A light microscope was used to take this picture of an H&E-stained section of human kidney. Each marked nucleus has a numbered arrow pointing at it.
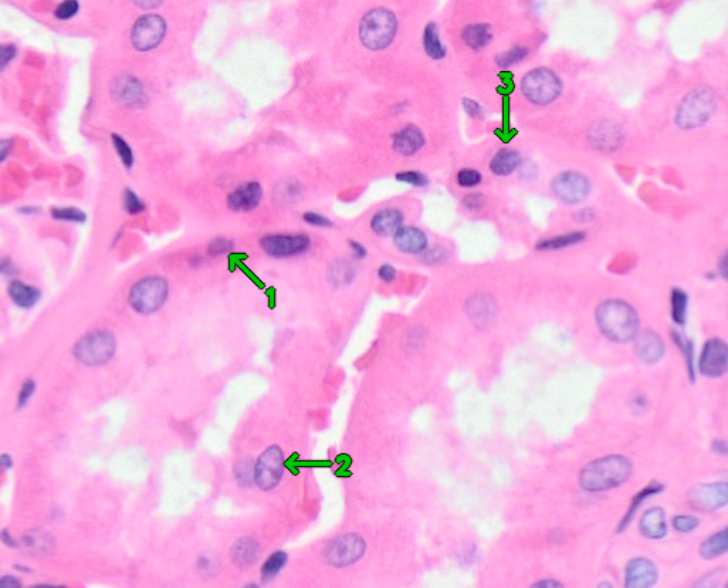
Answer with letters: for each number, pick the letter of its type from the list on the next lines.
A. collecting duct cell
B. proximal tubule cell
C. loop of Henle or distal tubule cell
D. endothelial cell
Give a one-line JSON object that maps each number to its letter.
{"1": "B", "2": "B", "3": "A"}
